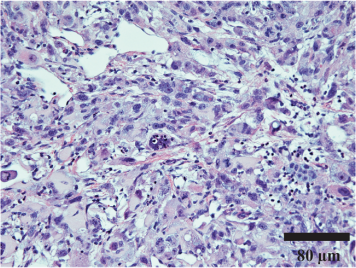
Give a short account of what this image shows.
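This section of the tumour looks looser and more disordered than a compact sheet of cells. Many cells are elongated or spindle-shaped, lying among pink fibrous strands, while others are larger with abundant pink cytoplasm. Clear empty spaces open up between groups of cells. Small dark, dense nuclear fragments are scattered through the field, and a cell near the centre holds clumped, fragmented dark nuclear material. The tumour tissue thus shows altered architecture with mixed cell shapes.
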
